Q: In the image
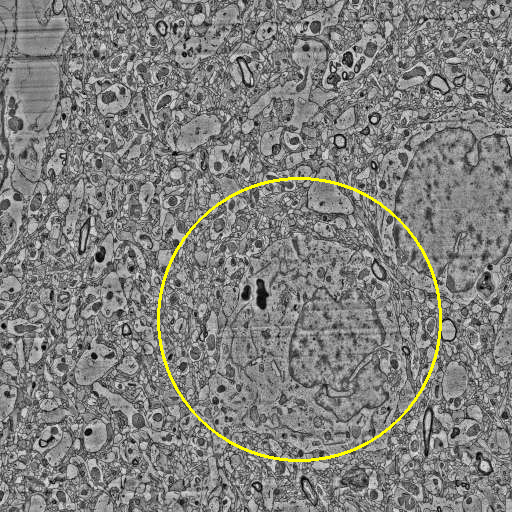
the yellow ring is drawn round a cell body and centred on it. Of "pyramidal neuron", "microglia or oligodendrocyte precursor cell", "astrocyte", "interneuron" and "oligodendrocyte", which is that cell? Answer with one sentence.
The cell centred in the ring is an interneuron.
